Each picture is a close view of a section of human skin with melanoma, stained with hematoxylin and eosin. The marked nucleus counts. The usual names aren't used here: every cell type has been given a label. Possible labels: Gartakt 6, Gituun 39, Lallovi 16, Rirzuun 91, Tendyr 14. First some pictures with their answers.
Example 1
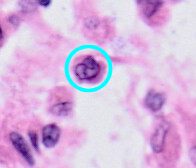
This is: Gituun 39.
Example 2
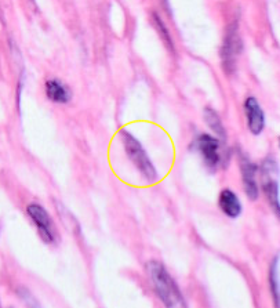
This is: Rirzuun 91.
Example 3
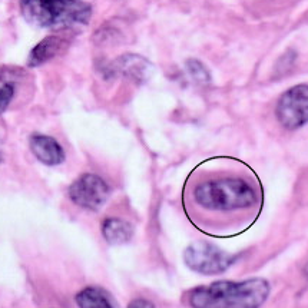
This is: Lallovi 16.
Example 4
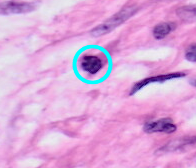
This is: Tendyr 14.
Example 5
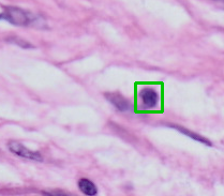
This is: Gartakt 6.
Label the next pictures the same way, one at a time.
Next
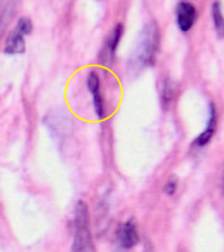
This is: Rirzuun 91.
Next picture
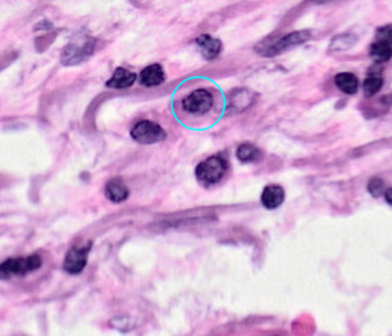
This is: Tendyr 14.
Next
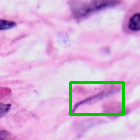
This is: Rirzuun 91.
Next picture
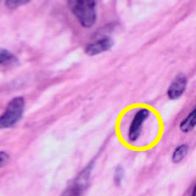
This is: Gartakt 6.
